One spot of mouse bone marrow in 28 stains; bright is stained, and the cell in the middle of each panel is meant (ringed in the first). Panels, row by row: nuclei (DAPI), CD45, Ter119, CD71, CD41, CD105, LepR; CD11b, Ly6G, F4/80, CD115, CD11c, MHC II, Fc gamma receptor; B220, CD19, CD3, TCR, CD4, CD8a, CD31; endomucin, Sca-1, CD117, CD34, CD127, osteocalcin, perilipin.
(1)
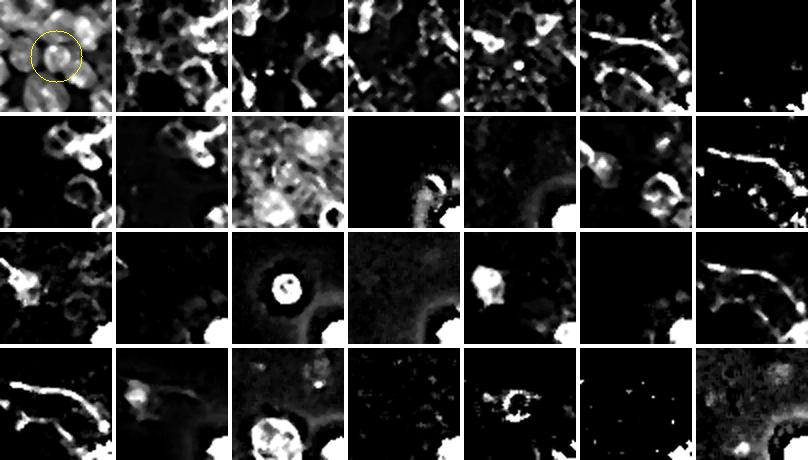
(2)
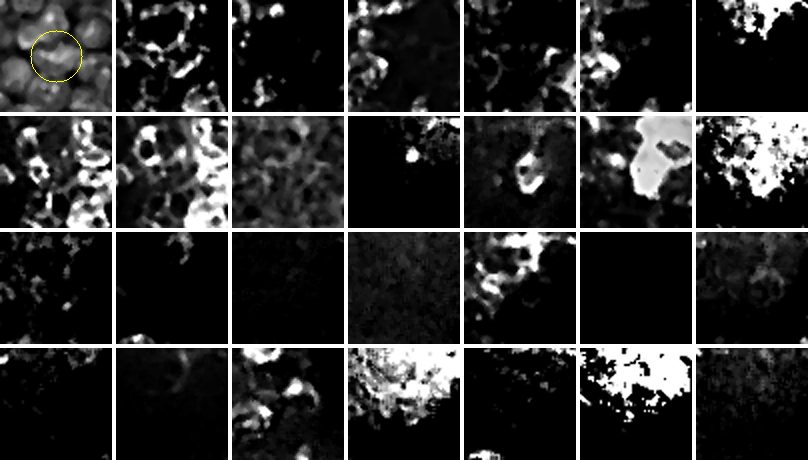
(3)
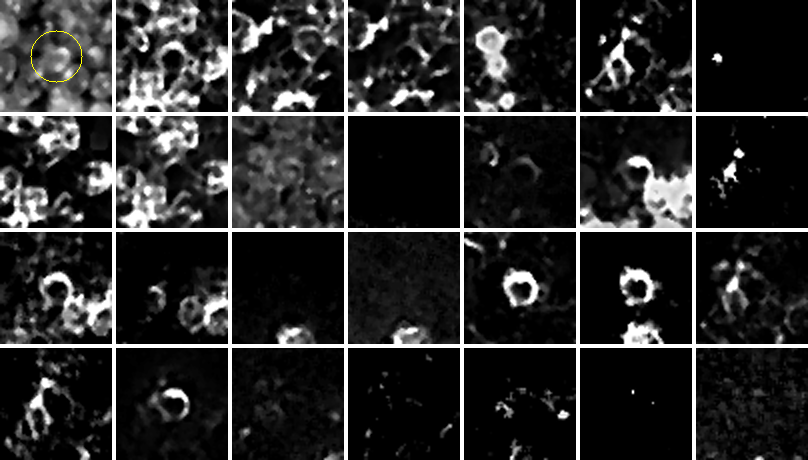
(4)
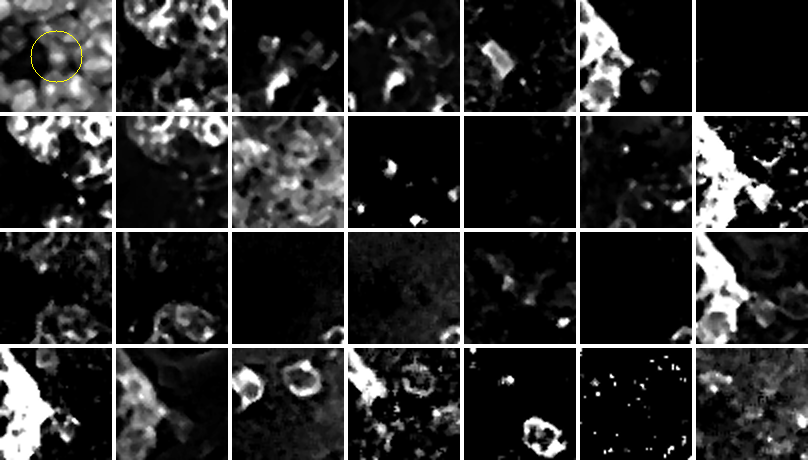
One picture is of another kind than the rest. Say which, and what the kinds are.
Picture 2 shows a conventional dendritic cell; the rest show capillary endothelial cells.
